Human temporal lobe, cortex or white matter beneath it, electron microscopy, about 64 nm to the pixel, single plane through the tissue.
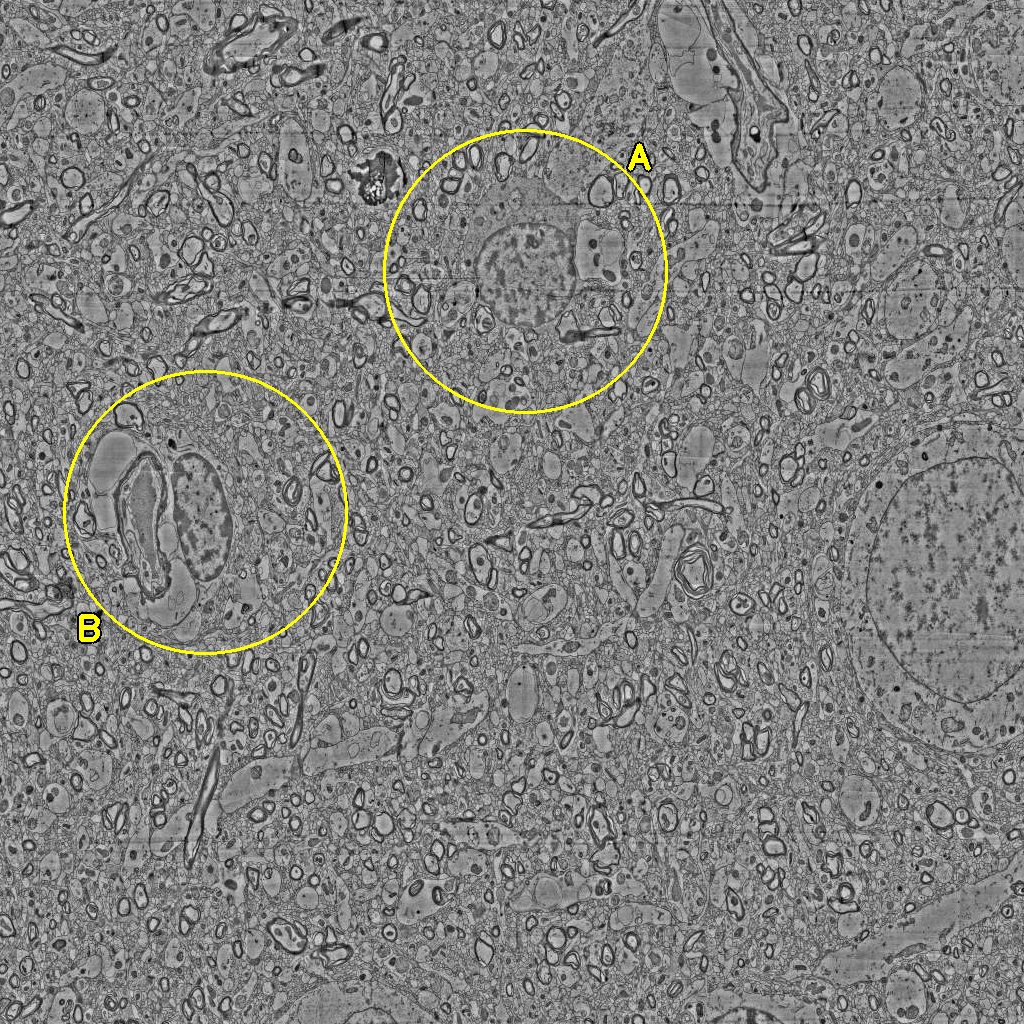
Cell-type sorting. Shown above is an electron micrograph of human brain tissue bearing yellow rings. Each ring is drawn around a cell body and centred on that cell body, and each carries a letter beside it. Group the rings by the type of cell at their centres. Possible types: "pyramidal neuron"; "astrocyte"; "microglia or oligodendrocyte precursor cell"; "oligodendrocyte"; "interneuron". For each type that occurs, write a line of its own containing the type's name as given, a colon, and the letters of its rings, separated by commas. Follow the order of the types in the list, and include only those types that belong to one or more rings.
microglia or oligodendrocyte precursor cell: B
oligodendrocyte: A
